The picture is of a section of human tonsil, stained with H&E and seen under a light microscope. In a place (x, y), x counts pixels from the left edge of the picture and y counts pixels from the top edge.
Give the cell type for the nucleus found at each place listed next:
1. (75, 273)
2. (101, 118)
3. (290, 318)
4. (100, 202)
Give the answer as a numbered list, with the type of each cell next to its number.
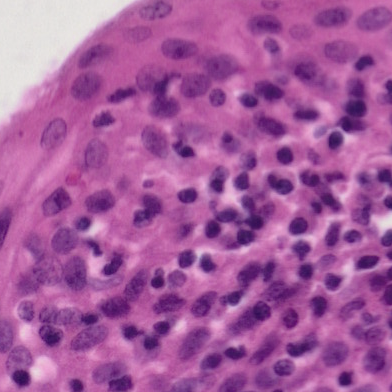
1. squamous epithelial cell
2. squamous epithelial cell
3. plasma cell
4. squamous epithelial cell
